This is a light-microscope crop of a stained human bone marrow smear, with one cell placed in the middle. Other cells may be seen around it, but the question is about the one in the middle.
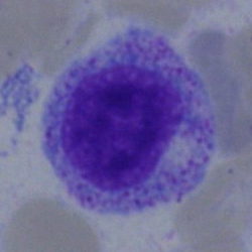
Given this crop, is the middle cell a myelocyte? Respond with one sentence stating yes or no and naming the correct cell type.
Yes, the cell at the centre of the field is a myelocyte.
